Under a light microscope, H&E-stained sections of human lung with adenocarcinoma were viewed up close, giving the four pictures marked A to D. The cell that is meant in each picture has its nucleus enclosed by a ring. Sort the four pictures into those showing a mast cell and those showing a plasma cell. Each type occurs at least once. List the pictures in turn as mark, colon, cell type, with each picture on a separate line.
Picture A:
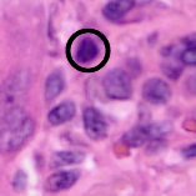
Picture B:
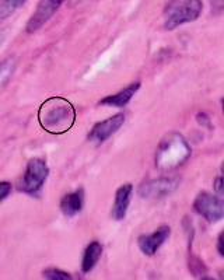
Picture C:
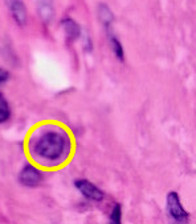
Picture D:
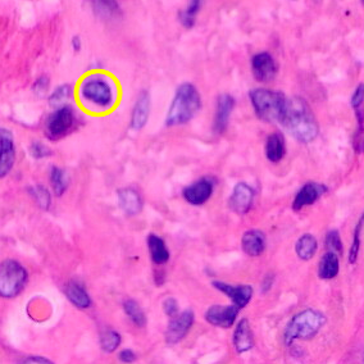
A: plasma cell
B: mast cell
C: plasma cell
D: mast cell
